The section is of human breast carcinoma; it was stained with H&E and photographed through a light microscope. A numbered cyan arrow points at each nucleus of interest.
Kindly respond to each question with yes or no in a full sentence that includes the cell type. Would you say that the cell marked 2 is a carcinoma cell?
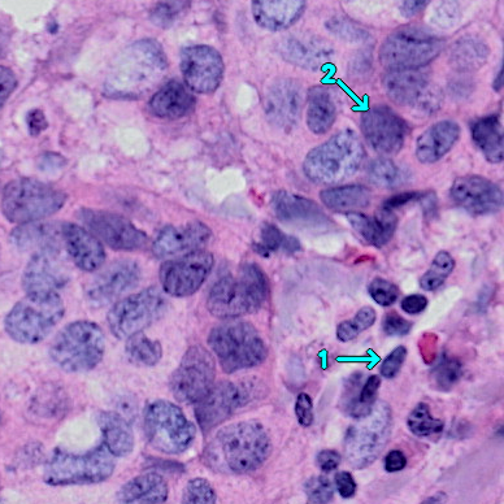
Yes, number 2 marks a cell that is a carcinoma cell.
